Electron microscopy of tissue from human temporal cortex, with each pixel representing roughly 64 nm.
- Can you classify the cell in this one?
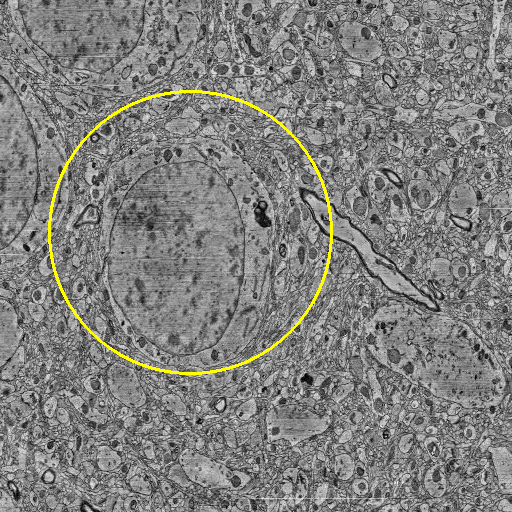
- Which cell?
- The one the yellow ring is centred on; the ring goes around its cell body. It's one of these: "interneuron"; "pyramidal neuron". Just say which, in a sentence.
The cell body in the ring belongs to a pyramidal neuron.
